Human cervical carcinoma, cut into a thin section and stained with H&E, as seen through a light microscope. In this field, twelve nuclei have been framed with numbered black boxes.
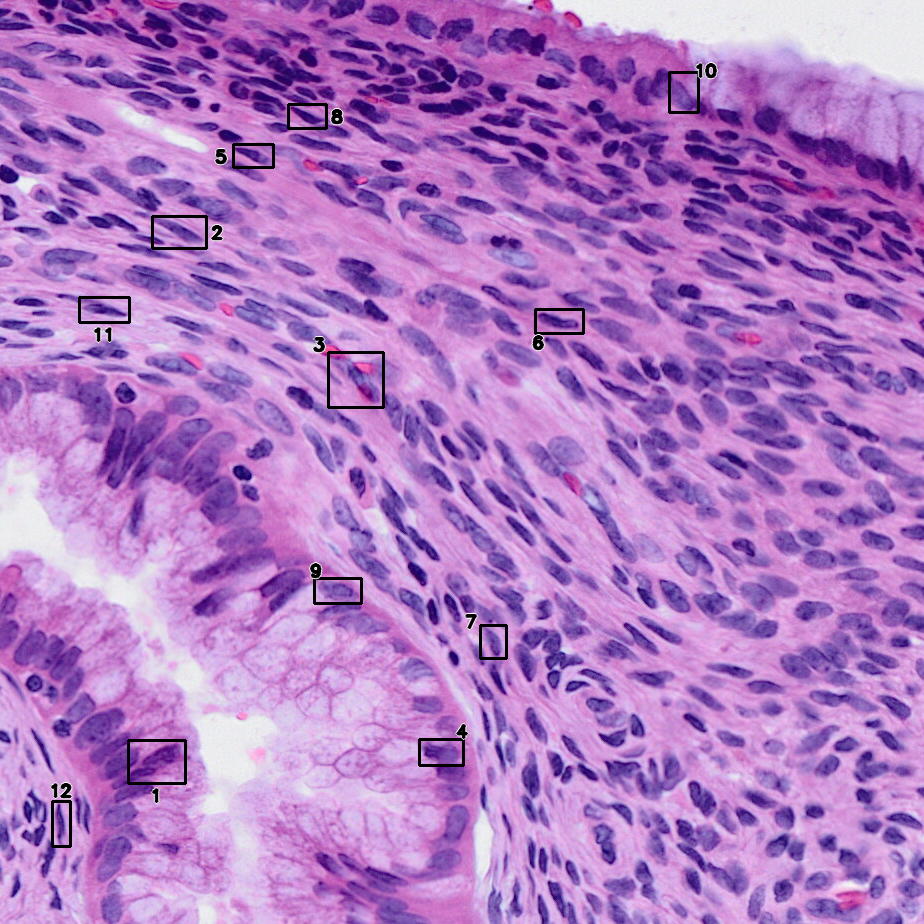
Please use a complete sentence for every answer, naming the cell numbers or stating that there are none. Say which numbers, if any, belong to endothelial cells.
Just one numbered cell is an endothelial cell, and that cell is number 3.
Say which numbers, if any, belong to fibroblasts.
Marked by the numbers 2, 5, 6, 7, 8, 11 and 12 are cells that are fibroblasts.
